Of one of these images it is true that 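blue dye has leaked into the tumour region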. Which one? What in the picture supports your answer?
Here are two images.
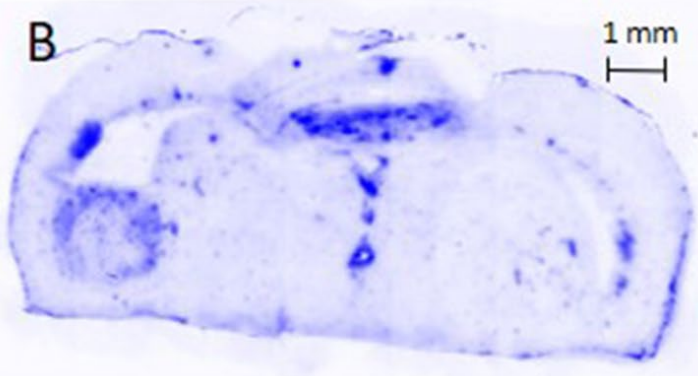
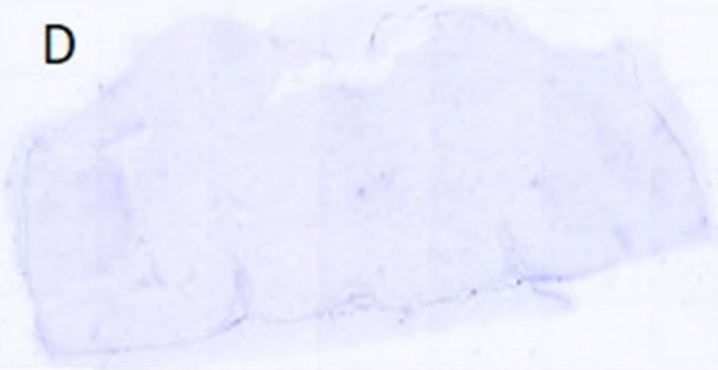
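Second image: the section is uniformly pale blue with no concentrated blue area. First image: the round region at the left is filled with a dense speckled blue, and other spots of deep blue appear in the section. So: the first image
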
